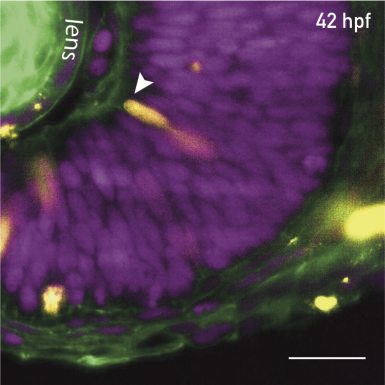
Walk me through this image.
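This view shows the retinal epithelium curving around the lens, with densely packed, elongated magenta nuclei stacked in several layers. A few scattered cells carry a bright yellow-orange nucleus, one of them marked by the arrowhead, lying elongated and oriented along the radial axis of the tissue.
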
